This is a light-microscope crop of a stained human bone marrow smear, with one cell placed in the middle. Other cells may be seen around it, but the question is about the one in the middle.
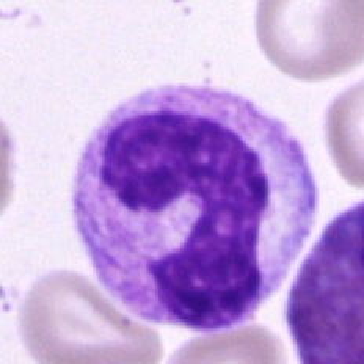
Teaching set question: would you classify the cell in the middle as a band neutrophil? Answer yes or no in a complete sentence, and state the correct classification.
Yes, the cell shown at the crop's centre is a band neutrophil.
